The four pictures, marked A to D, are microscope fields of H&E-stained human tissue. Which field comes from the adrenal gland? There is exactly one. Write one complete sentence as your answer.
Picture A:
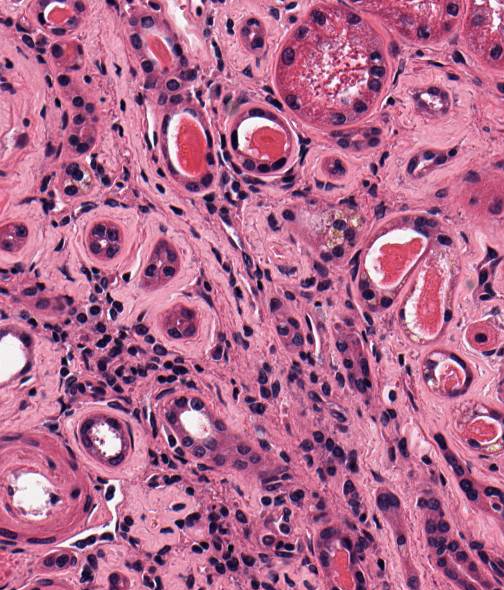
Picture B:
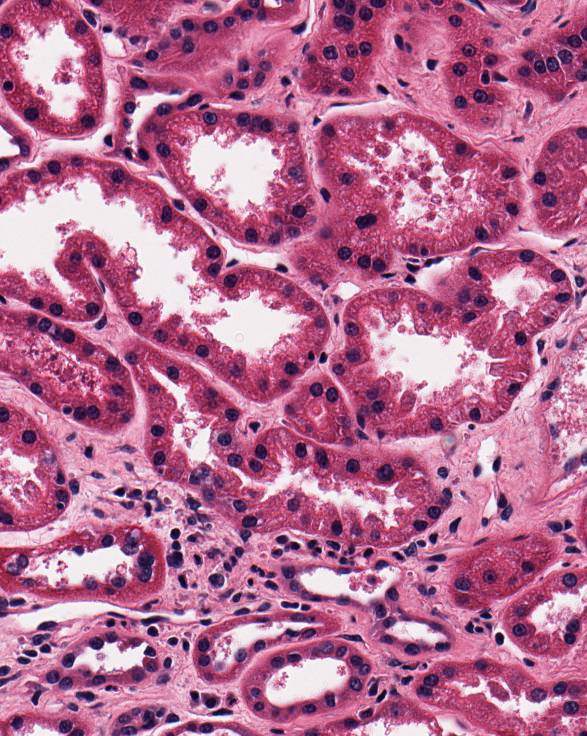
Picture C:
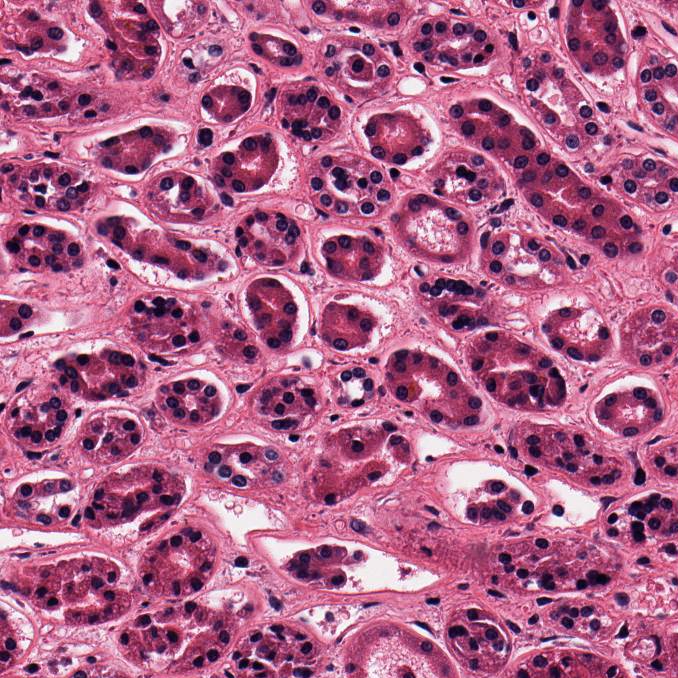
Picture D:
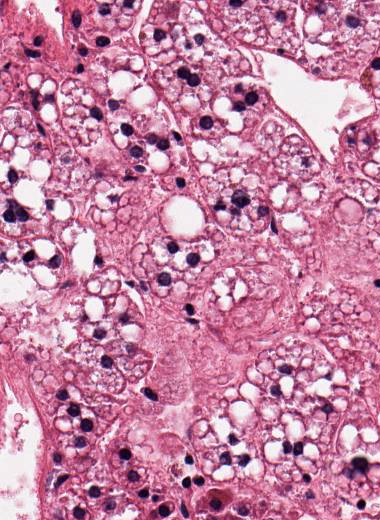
The one that comes from the adrenal gland is picture D.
